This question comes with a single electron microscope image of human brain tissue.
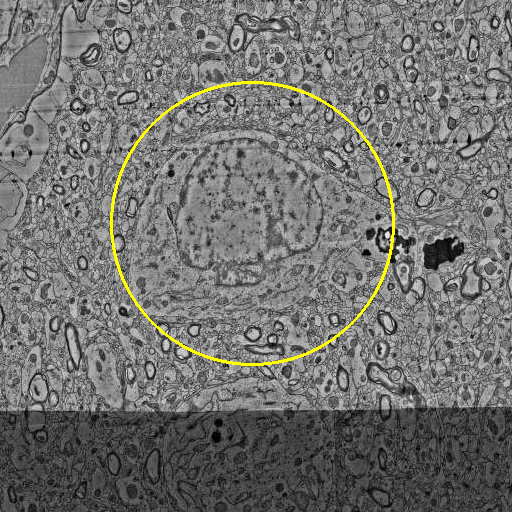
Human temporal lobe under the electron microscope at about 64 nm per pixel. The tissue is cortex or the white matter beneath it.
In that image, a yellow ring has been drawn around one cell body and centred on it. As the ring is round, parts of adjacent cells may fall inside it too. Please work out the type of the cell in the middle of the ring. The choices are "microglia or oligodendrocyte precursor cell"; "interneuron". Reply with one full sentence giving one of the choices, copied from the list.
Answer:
Of the choices, an interneuron is the cell sitting in the middle of the ring.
